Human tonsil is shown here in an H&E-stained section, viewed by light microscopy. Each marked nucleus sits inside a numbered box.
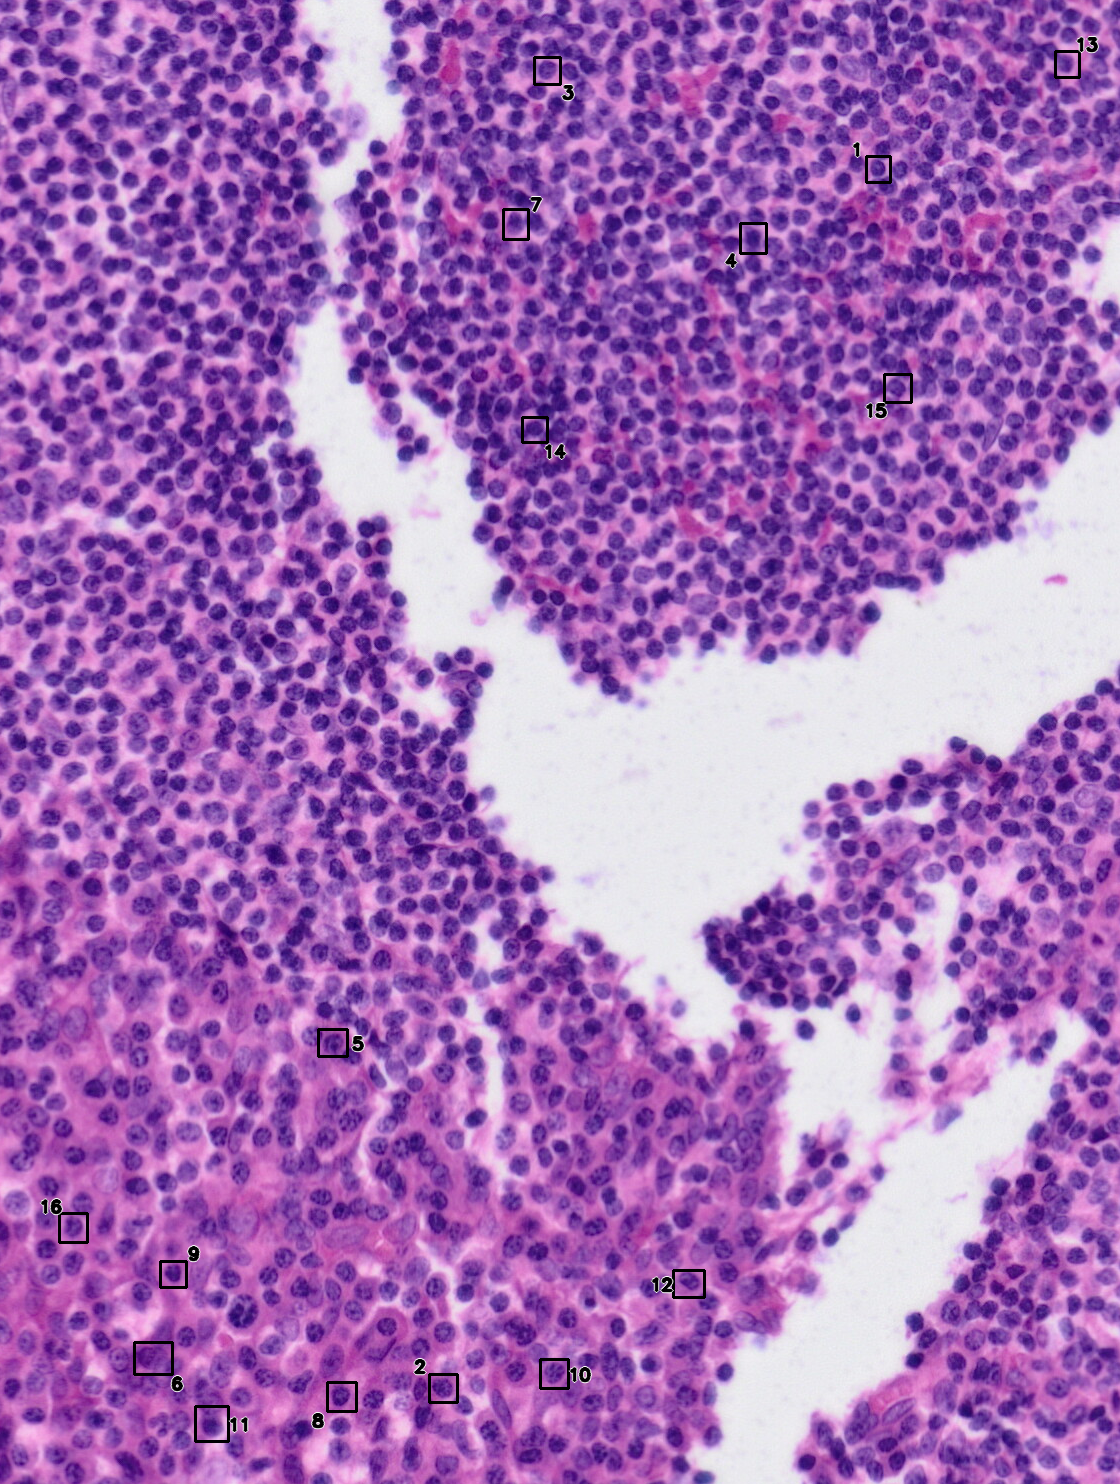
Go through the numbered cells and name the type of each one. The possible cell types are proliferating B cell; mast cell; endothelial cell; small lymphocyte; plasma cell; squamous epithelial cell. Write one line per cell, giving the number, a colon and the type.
1: small lymphocyte
2: plasma cell
3: small lymphocyte
4: small lymphocyte
5: plasma cell
6: squamous epithelial cell
7: small lymphocyte
8: plasma cell
9: plasma cell
10: plasma cell
11: squamous epithelial cell
12: plasma cell
13: small lymphocyte
14: small lymphocyte
15: small lymphocyte
16: plasma cell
